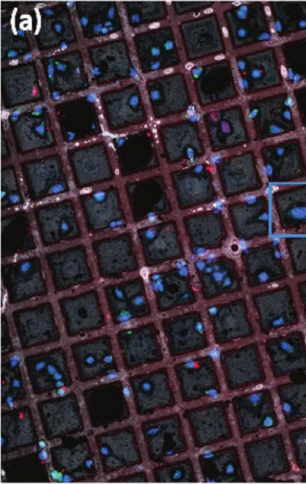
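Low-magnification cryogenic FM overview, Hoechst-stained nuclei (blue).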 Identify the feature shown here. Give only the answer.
Grid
